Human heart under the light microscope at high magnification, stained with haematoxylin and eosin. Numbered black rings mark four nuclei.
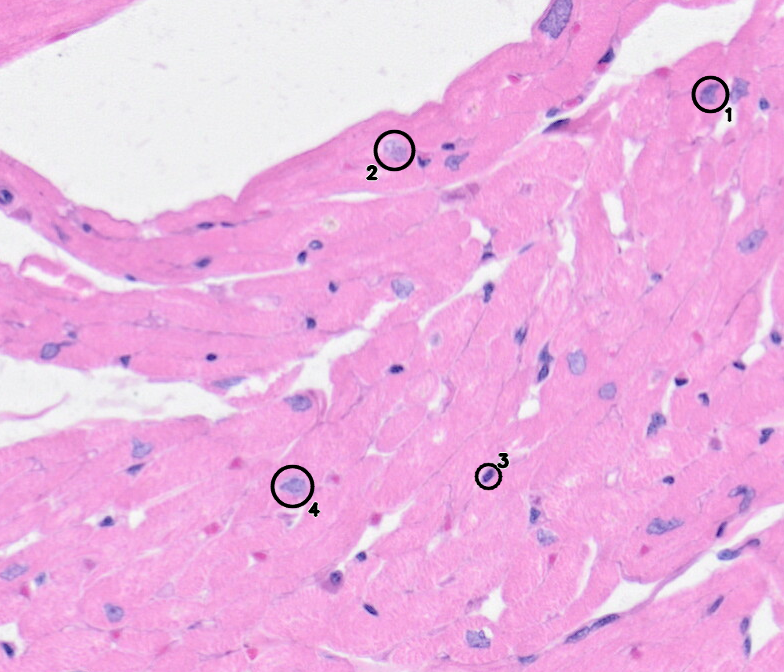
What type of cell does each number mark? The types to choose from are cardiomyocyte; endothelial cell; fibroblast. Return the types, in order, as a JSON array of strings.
["cardiomyocyte", "cardiomyocyte", "endothelial cell", "cardiomyocyte"]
